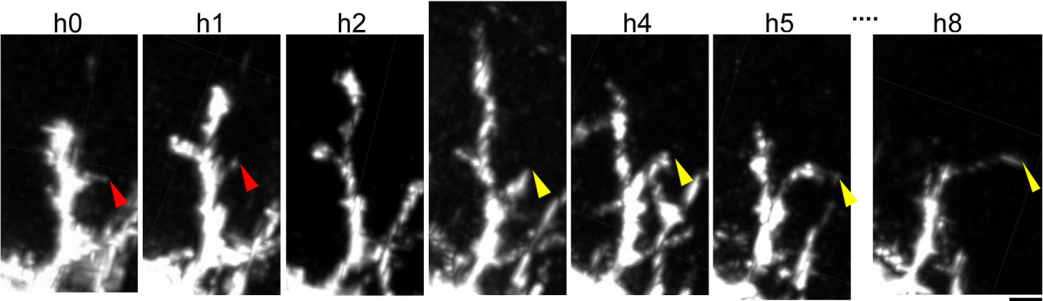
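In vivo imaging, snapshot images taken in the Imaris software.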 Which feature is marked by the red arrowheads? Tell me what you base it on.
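The red arrowheads point to a thin process that leaves the bright trunk to the right. The marked process is narrower than the trunk it arises from.
Conclusion: branch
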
